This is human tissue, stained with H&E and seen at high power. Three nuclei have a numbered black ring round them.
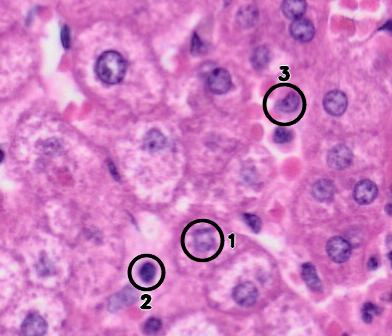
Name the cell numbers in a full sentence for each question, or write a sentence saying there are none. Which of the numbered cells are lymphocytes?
Cell 2 is a lymphocyte; every other numbered cell is something else.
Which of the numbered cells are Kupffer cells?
Among the numbered cells, the one that is a Kupffer cell is cell 3 alone.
